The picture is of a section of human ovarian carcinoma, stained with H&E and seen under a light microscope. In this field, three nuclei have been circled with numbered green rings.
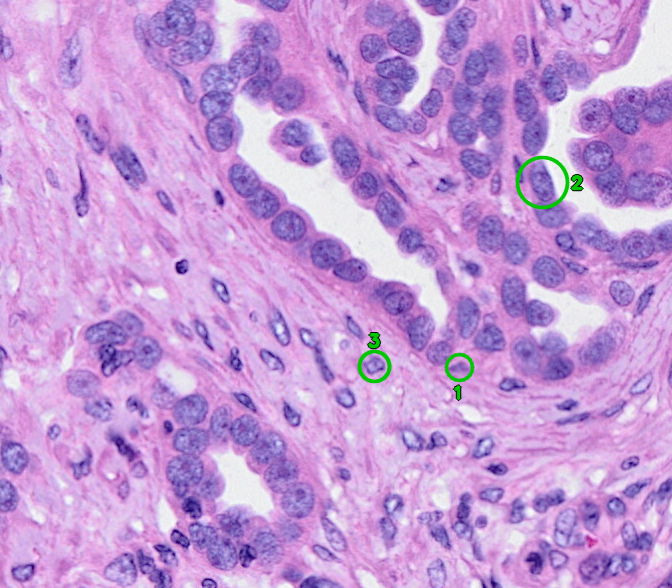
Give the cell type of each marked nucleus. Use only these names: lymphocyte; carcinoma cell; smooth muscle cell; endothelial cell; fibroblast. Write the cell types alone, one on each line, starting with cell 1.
fibroblast
carcinoma cell
fibroblast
